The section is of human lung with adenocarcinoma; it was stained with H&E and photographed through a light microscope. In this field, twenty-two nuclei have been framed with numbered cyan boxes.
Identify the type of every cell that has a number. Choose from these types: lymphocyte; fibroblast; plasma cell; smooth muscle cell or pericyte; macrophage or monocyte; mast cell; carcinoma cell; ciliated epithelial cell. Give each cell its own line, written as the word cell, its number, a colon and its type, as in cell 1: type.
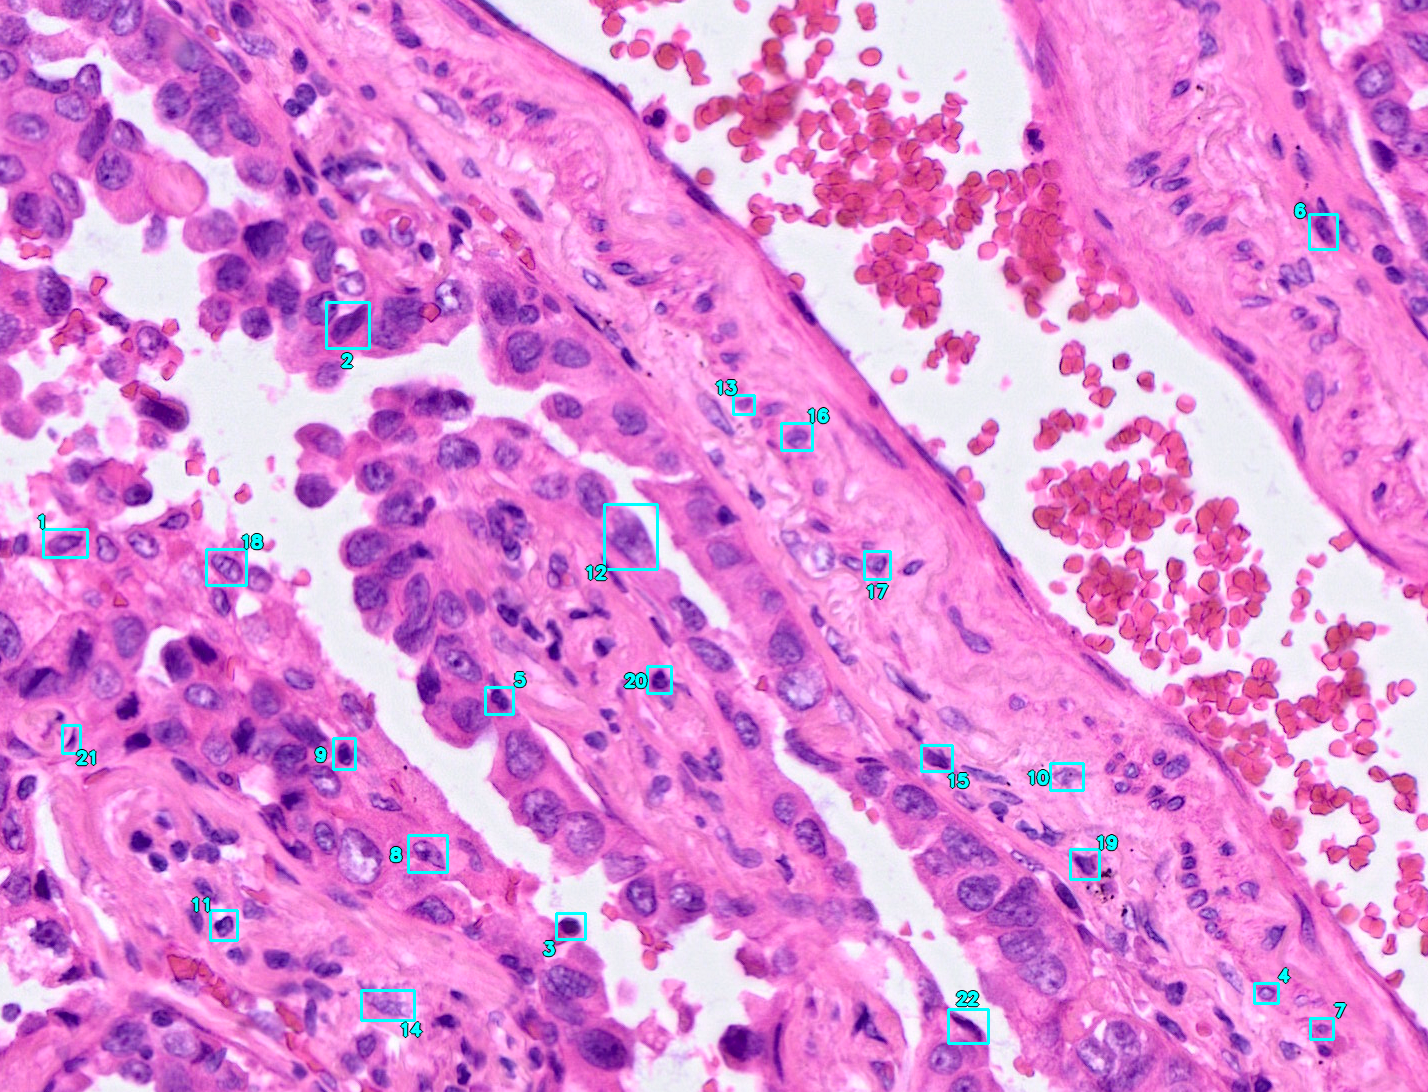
cell 1: macrophage or monocyte
cell 2: carcinoma cell
cell 3: lymphocyte
cell 4: smooth muscle cell or pericyte
cell 5: lymphocyte
cell 6: plasma cell
cell 7: smooth muscle cell or pericyte
cell 8: macrophage or monocyte
cell 9: lymphocyte
cell 10: fibroblast
cell 11: lymphocyte
cell 12: carcinoma cell
cell 13: smooth muscle cell or pericyte
cell 14: fibroblast
cell 15: plasma cell
cell 16: smooth muscle cell or pericyte
cell 17: smooth muscle cell or pericyte
cell 18: macrophage or monocyte
cell 19: plasma cell
cell 20: plasma cell
cell 21: fibroblast
cell 22: carcinoma cell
